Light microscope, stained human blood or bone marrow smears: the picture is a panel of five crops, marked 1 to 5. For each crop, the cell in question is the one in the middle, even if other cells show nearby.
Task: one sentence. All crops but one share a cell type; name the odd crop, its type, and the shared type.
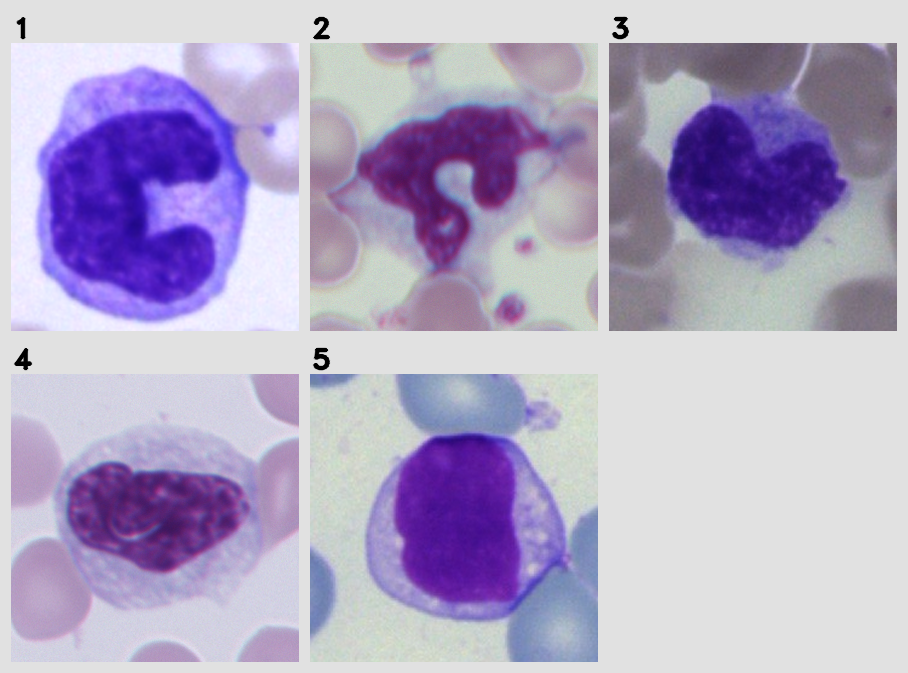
All of the other crops show monocytes, while crop 5 shows a lymphocyte instead.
